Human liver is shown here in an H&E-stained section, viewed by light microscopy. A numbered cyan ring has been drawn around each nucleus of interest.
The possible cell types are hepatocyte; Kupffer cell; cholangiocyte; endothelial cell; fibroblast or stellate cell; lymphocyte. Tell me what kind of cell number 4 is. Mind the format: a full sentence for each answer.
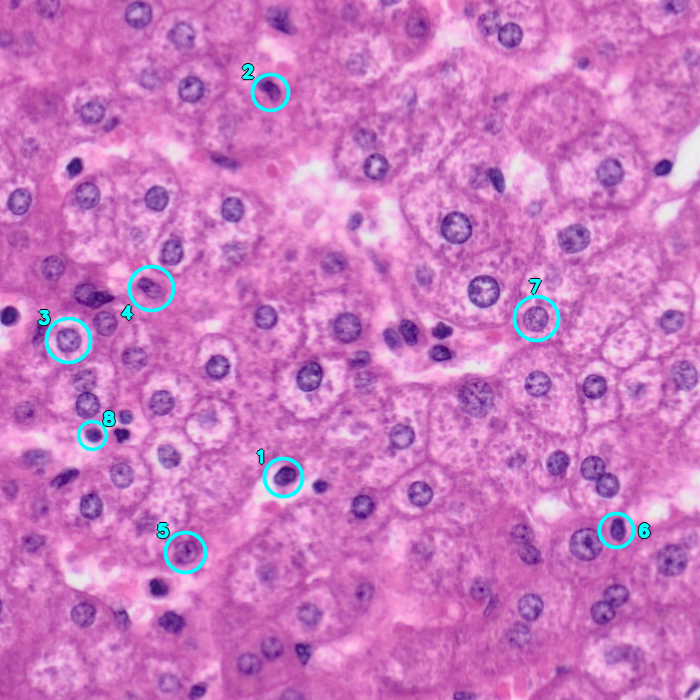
The cell that is numbered 4 is a Kupffer cell.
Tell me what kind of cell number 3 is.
Recognised here as a hepatocyte is the cell numbered 3.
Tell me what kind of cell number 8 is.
Regarding cell 8, this one is a lymphocyte.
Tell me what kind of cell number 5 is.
Number 5 is placed on a hepatocyte here.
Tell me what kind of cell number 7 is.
The marked nucleus 7 is that of a hepatocyte.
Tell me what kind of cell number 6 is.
Cell 6 is classified as a fibroblast or stellate cell.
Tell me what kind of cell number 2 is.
In the marked set, the cell given number 2 is a Kupffer cell.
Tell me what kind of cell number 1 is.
Heads up, the cell numbered 1 is a Kupffer cell.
